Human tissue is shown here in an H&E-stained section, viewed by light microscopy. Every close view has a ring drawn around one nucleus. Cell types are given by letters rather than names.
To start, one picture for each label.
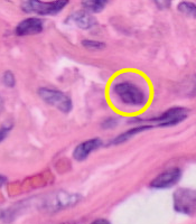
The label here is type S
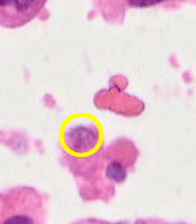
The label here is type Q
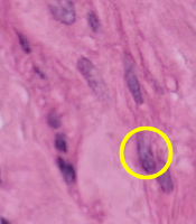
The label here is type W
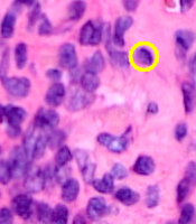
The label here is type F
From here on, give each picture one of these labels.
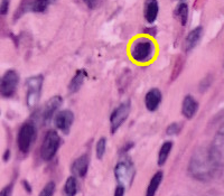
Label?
type S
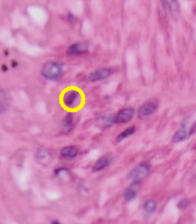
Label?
type W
